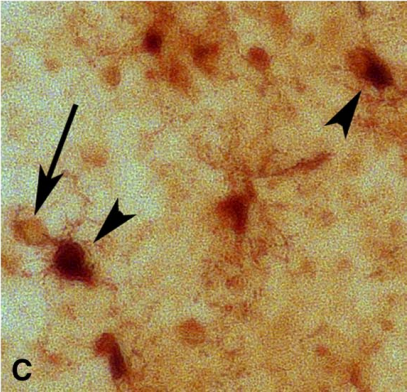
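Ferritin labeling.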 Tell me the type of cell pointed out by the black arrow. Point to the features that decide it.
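Oligodendrocytes. The arrow points to a paler, small rounded brown cell. It lies next to a darker branched cell.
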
